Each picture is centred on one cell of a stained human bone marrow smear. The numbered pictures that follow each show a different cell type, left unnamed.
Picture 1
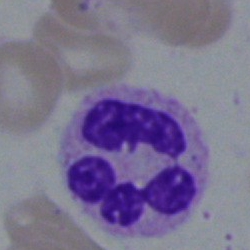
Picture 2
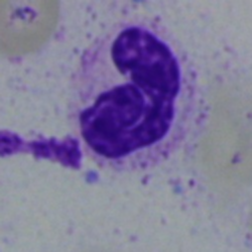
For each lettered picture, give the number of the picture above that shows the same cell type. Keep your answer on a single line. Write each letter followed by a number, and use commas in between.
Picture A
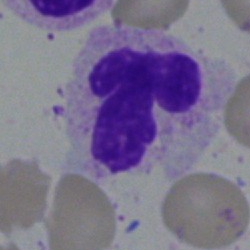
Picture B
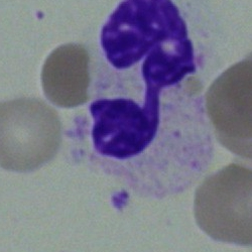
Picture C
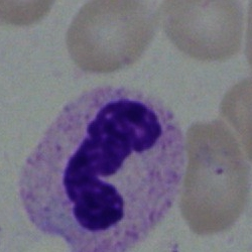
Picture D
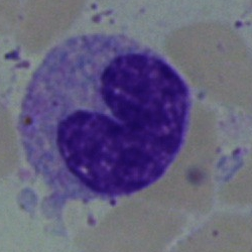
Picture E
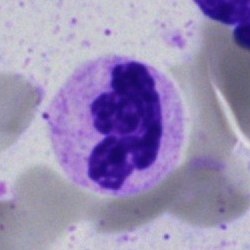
A 1, B 1, C 2, D 2, E 1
